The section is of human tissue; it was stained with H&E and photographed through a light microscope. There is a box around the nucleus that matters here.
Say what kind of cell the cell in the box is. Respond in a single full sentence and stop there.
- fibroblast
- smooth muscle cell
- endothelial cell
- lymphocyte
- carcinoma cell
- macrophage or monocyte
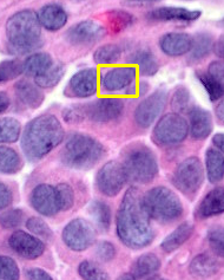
With respect to cell type, the cell in the box is a carcinoma cell.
